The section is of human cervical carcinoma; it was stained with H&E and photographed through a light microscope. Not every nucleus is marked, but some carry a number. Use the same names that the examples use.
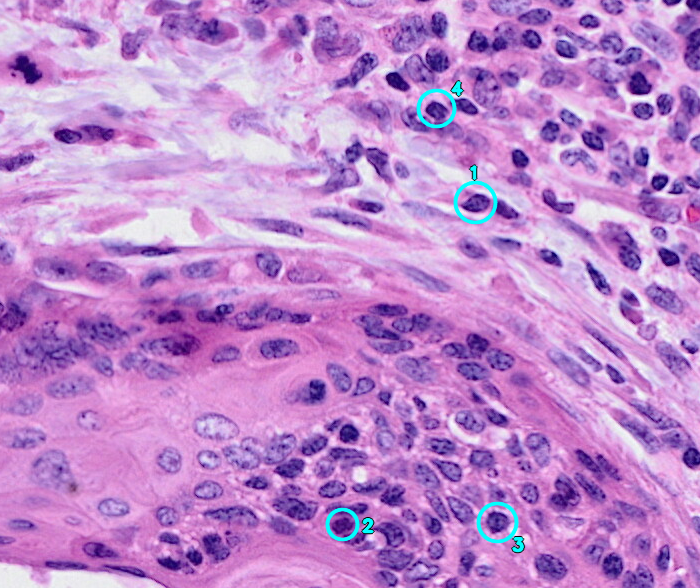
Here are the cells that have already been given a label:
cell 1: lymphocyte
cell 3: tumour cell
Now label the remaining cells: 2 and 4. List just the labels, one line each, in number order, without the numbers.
tumour cell
lymphocyte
